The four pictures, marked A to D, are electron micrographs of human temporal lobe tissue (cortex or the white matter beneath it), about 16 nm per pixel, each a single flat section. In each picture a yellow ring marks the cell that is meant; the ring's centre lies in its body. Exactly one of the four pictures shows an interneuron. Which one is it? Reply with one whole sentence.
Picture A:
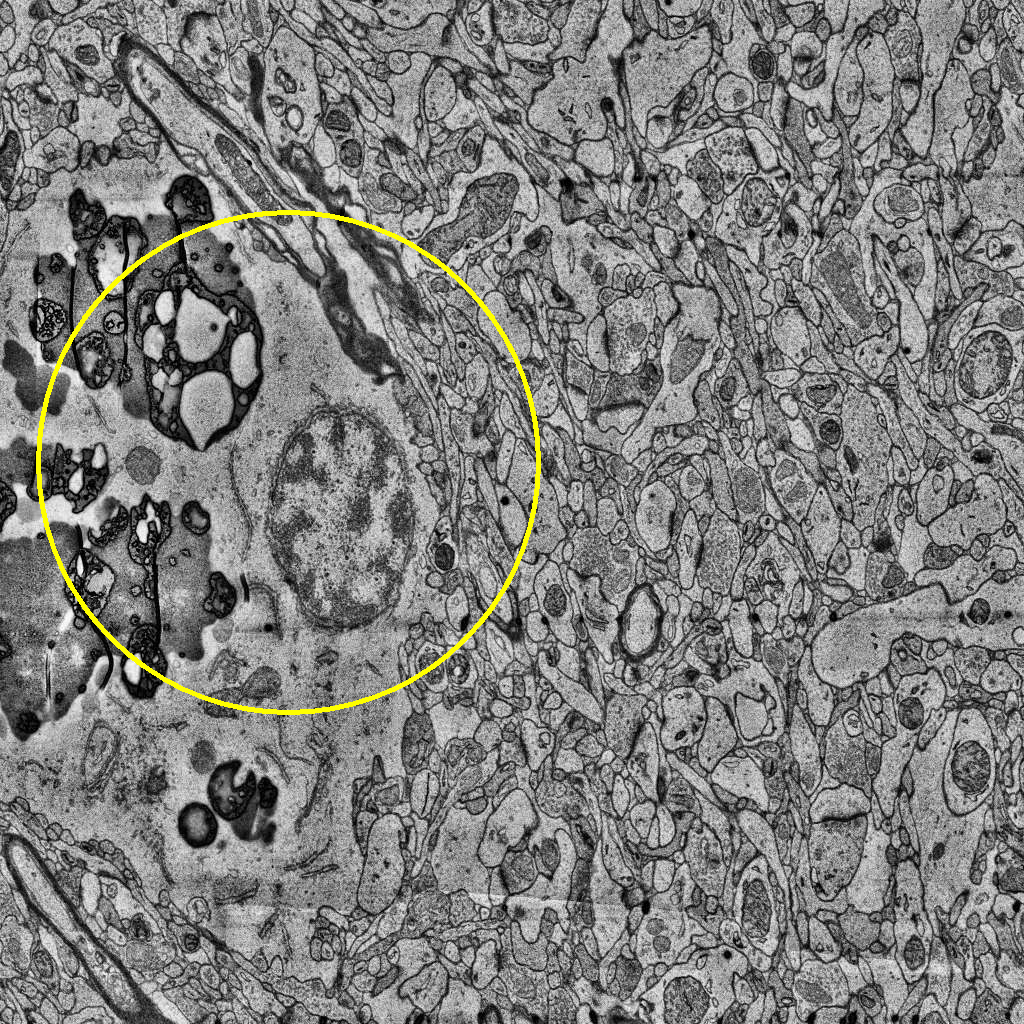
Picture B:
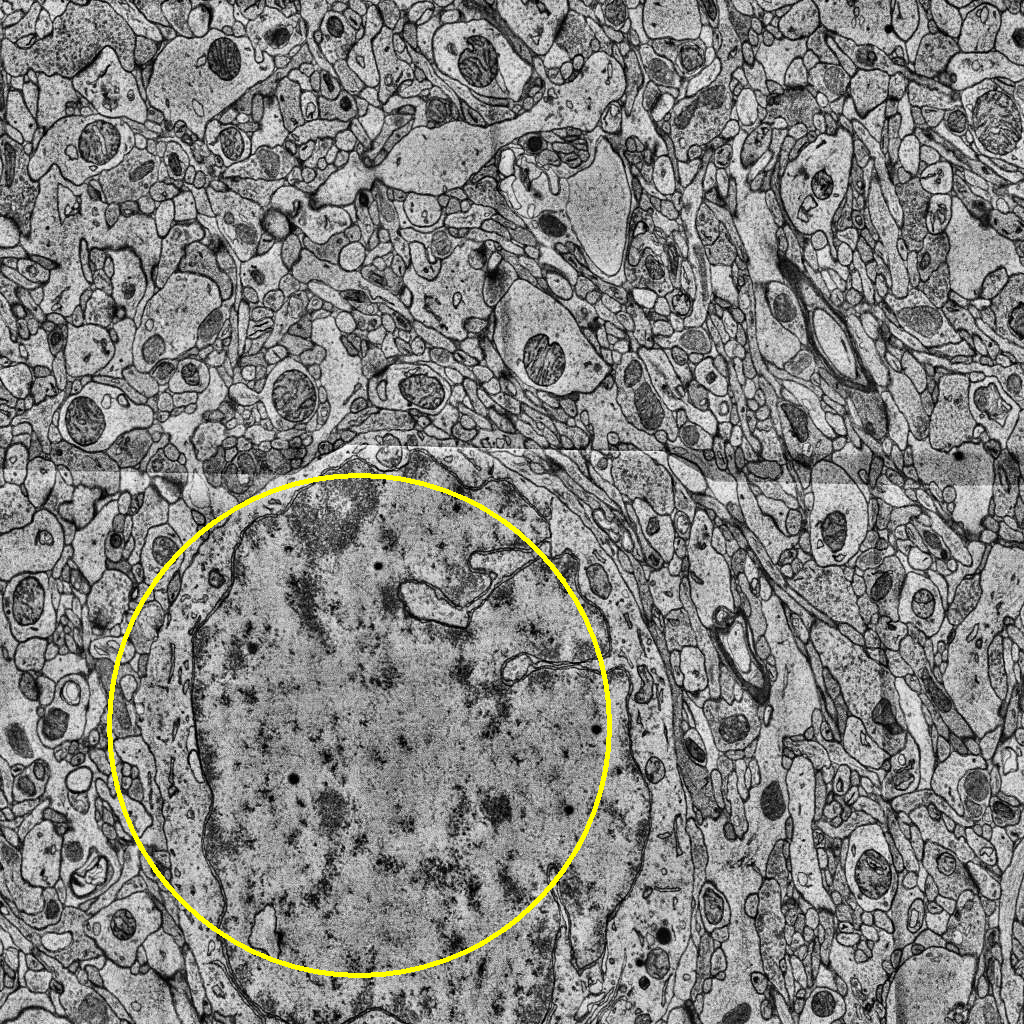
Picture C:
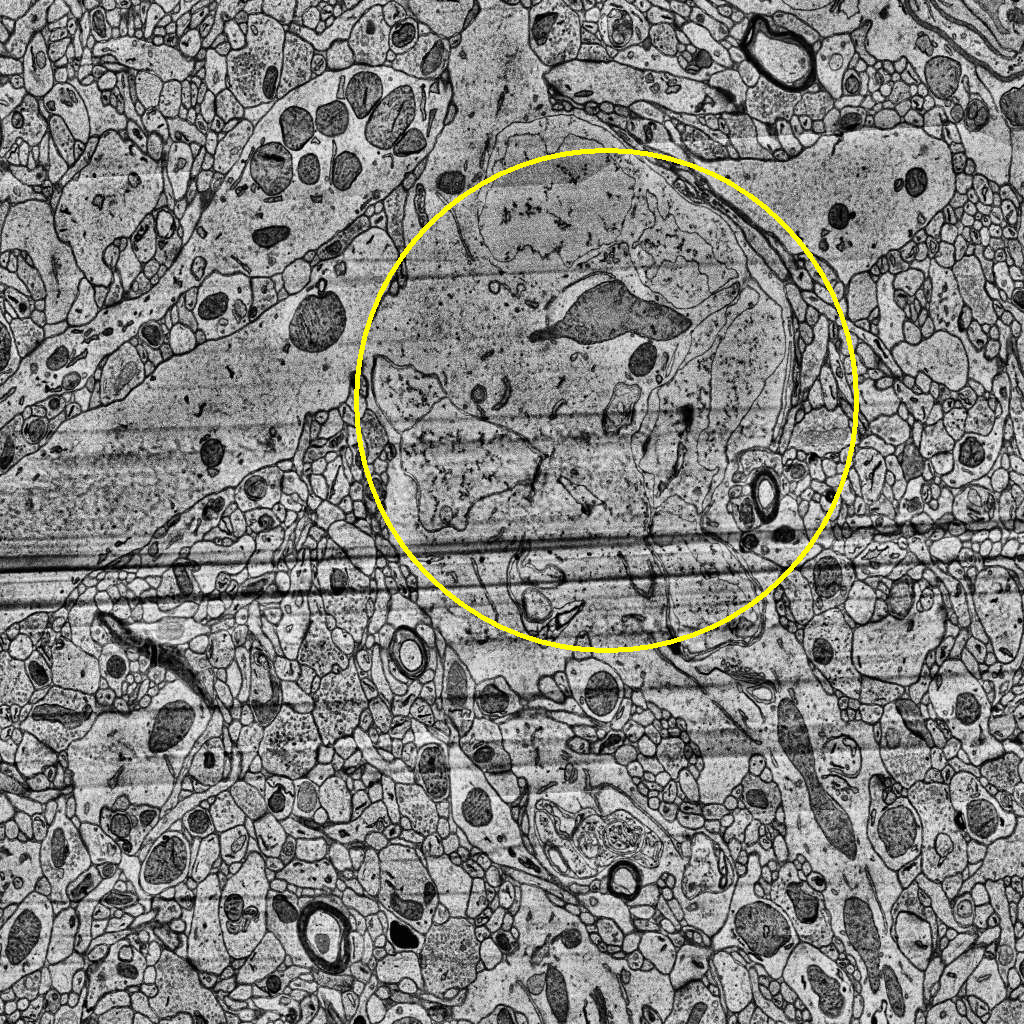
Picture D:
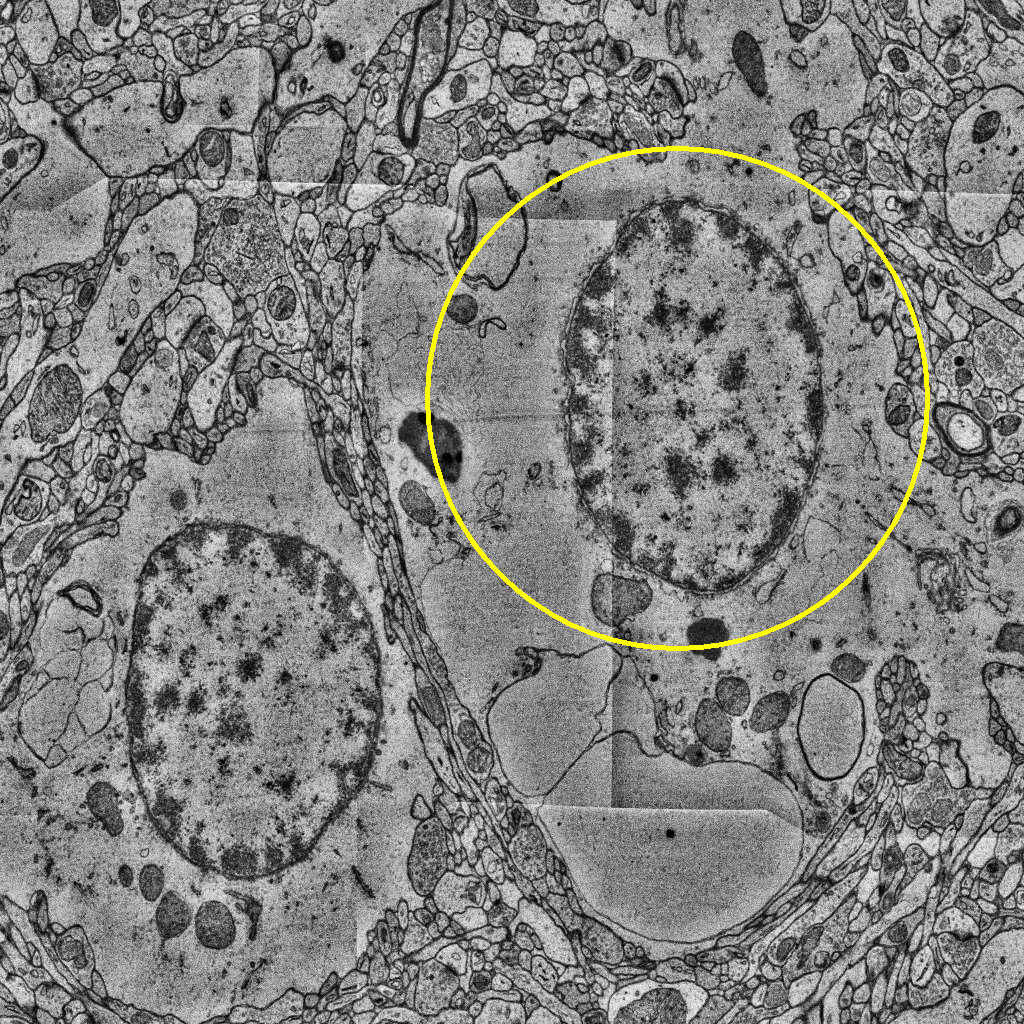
Picture B is the one that shows the interneuron.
